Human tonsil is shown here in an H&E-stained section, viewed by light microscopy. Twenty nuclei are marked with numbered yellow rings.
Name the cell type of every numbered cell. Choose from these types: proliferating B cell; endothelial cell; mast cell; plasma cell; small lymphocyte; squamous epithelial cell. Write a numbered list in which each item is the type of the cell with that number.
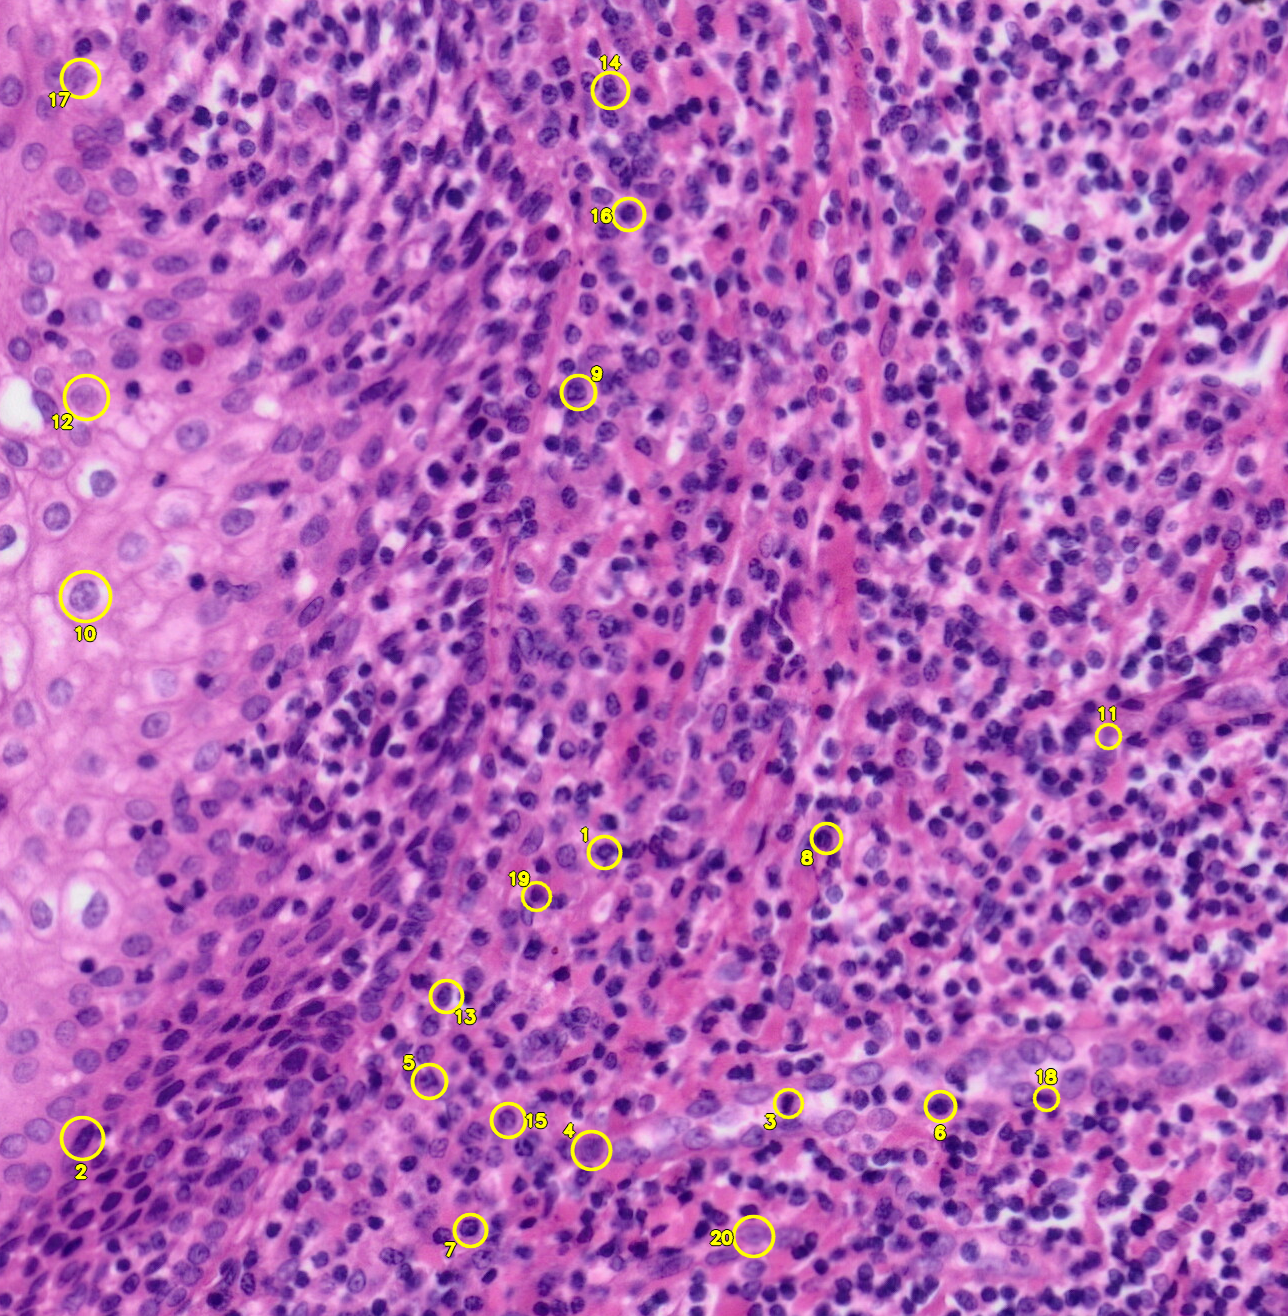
1. plasma cell
2. squamous epithelial cell
3. endothelial cell
4. endothelial cell
5. plasma cell
6. endothelial cell
7. plasma cell
8. plasma cell
9. plasma cell
10. squamous epithelial cell
11. endothelial cell
12. squamous epithelial cell
13. plasma cell
14. plasma cell
15. plasma cell
16. plasma cell
17. squamous epithelial cell
18. endothelial cell
19. plasma cell
20. endothelial cell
